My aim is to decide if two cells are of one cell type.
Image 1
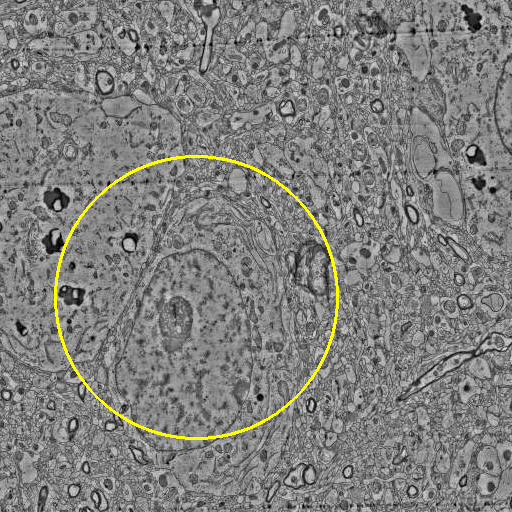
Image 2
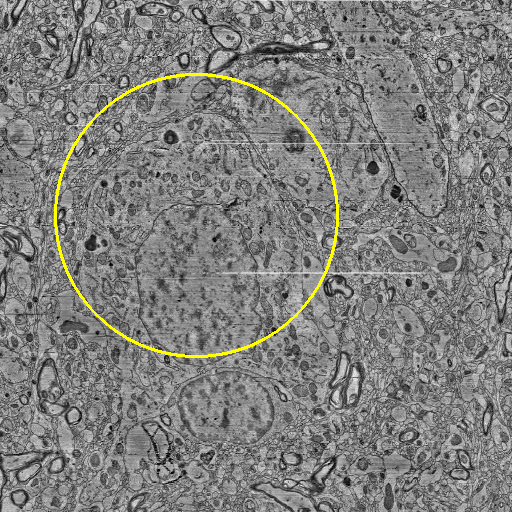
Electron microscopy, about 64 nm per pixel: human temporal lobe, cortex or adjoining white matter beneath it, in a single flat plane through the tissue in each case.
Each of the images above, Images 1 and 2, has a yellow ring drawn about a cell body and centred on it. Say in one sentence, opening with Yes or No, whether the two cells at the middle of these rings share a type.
Yes, in Images 1 and 2 the cells at the middle of the rings share one type.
